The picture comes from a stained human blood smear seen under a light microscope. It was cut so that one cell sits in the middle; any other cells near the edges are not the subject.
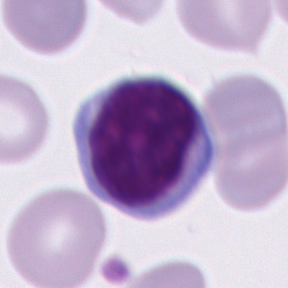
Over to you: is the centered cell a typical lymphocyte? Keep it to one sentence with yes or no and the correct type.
Yes, the cell at the middle of the frame is a typical lymphocyte.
